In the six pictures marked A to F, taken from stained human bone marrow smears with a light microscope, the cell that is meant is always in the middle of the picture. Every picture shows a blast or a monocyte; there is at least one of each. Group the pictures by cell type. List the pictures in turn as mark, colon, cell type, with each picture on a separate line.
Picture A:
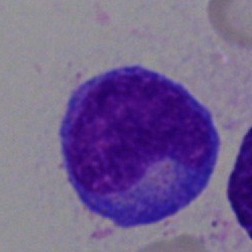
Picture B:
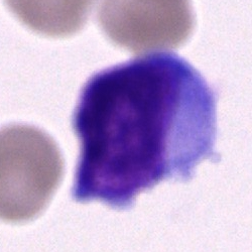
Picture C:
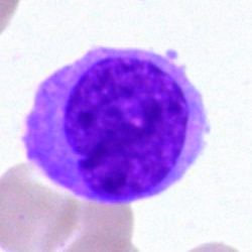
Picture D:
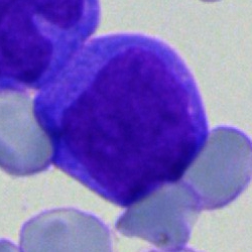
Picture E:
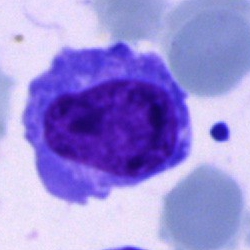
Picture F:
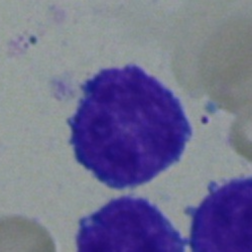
A: monocyte
B: blast
C: monocyte
D: blast
E: blast
F: blast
